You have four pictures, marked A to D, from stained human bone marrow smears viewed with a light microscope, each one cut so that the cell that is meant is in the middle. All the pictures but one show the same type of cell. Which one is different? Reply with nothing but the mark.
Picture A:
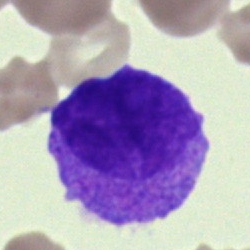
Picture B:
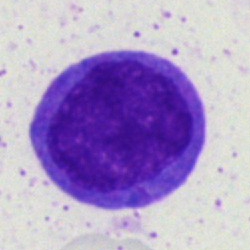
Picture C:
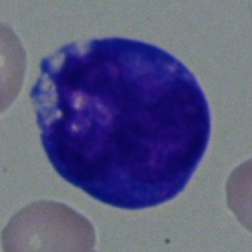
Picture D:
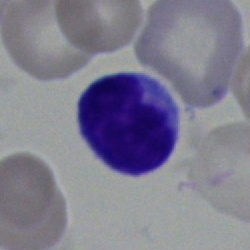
D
